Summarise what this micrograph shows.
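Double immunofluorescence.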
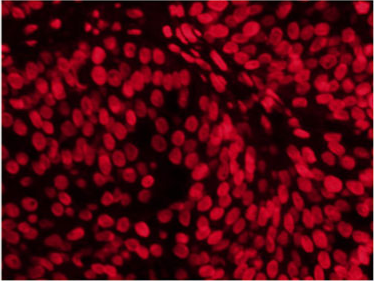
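The nuclei are oval to round, fairly uniform in size and crowded closely side by side in sheets. In places the nuclei are elongated and aligned in streams, and a few darker gaps interrupt the sheets. The cytoplasm between nuclei stays largely dark.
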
